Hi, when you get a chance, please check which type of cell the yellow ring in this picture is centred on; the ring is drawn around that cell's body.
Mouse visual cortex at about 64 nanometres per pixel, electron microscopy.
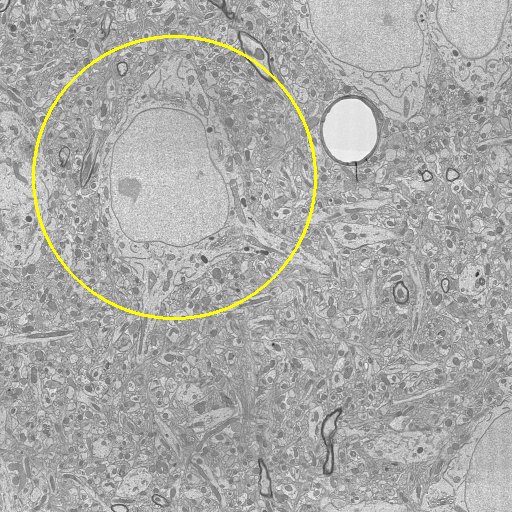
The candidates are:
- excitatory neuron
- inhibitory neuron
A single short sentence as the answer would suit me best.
The ring is drawn around the body of an excitatory neuron.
